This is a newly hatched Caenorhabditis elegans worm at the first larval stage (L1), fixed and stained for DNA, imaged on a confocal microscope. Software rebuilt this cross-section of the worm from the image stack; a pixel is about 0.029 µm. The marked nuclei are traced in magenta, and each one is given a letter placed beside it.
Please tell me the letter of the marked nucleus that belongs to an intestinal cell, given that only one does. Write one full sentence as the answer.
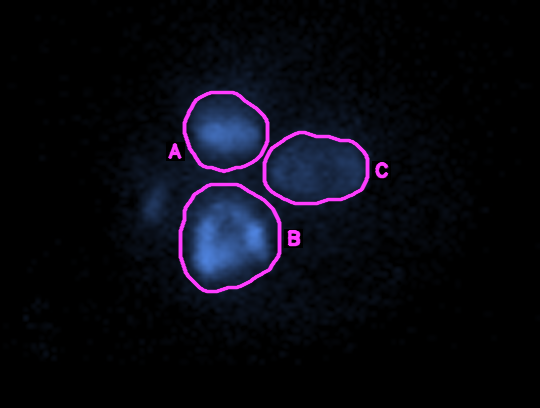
The nucleus of an intestinal cell is C.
